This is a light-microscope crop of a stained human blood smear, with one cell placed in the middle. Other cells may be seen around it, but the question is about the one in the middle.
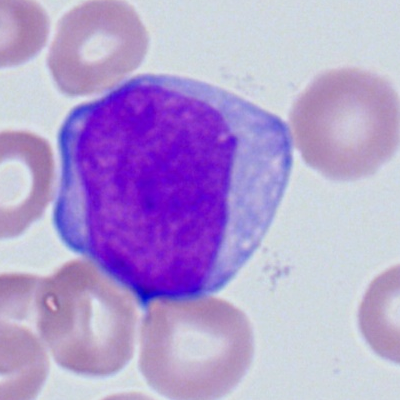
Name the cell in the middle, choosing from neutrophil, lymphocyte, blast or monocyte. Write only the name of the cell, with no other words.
blast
